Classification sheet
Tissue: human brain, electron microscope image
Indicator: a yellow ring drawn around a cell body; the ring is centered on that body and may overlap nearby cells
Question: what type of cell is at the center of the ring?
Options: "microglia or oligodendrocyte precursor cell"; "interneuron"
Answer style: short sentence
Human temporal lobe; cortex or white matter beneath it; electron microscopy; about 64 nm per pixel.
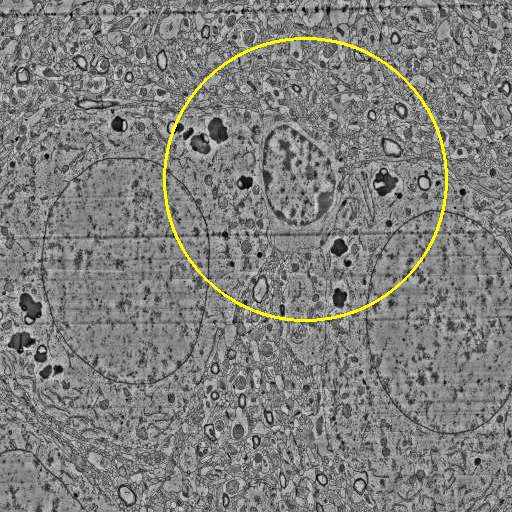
At the ring's center is a microglial cell or oligodendrocyte precursor cell.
